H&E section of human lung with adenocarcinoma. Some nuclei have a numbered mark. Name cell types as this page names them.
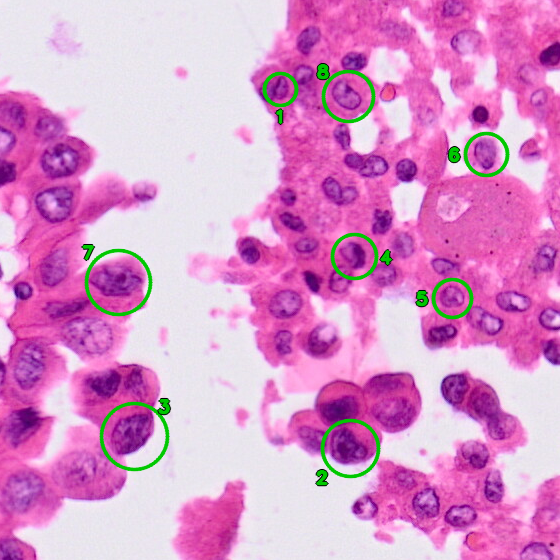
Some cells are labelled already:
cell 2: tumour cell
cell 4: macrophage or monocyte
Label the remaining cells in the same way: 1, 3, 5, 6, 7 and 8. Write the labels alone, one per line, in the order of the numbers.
macrophage or monocyte
tumour cell
macrophage or monocyte
macrophage or monocyte
tumour cell
macrophage or monocyte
